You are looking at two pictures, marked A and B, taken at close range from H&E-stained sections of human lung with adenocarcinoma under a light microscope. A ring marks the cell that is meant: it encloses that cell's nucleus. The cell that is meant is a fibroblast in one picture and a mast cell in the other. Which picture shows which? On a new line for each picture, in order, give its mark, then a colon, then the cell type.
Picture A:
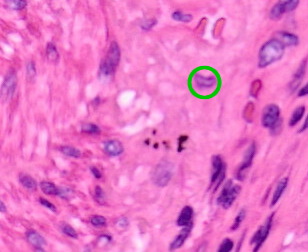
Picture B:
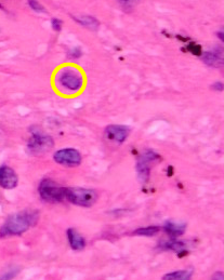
A: fibroblast
B: mast cell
